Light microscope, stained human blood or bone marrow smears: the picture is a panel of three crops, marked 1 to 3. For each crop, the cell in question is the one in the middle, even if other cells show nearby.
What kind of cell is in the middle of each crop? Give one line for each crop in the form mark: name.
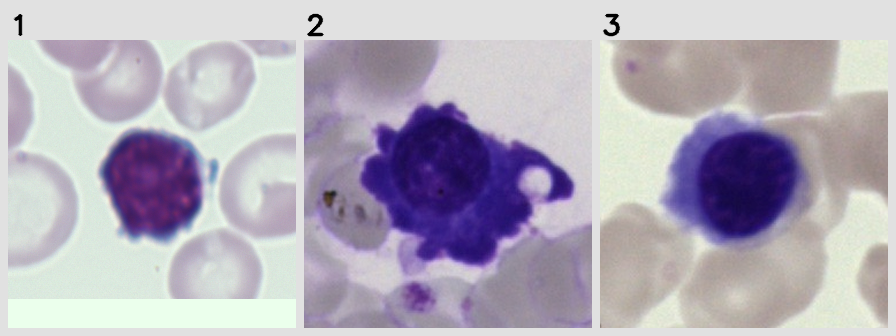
1: lymphocyte
2: plasma cell
3: erythroblast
